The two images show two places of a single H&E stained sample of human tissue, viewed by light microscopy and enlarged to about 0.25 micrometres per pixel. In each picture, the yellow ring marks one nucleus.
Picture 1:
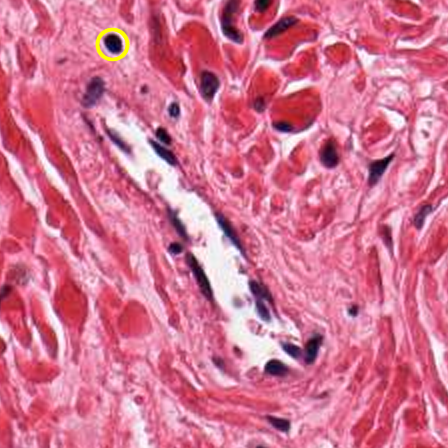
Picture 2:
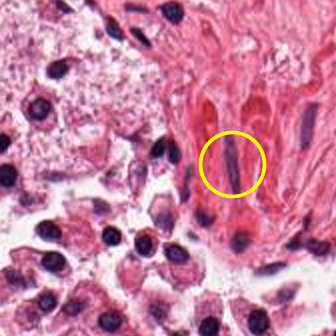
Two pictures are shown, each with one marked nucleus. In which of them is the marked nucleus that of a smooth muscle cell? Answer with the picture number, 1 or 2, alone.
2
